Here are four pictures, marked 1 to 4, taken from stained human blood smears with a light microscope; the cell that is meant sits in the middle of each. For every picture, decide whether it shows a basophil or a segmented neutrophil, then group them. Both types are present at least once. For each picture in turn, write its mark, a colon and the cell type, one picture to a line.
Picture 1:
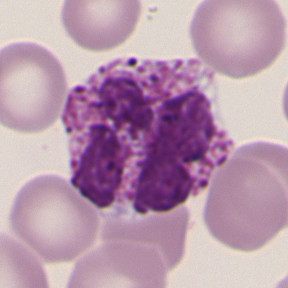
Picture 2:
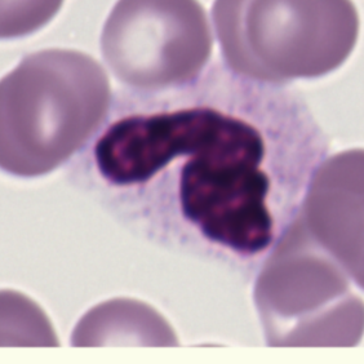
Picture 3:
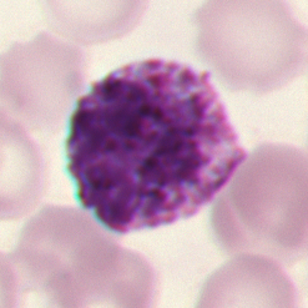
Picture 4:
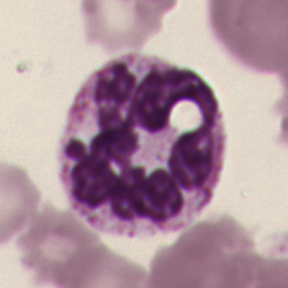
1: basophil
2: segmented neutrophil
3: basophil
4: segmented neutrophil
